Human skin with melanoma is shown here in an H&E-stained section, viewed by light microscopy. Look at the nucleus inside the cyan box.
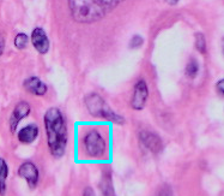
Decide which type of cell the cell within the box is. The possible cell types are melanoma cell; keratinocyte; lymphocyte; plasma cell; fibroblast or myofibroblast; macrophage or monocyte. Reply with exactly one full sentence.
Recorded by type, the cell within the box is a macrophage or monocyte.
